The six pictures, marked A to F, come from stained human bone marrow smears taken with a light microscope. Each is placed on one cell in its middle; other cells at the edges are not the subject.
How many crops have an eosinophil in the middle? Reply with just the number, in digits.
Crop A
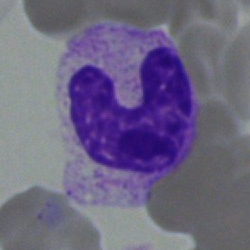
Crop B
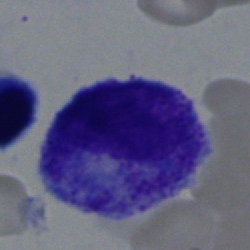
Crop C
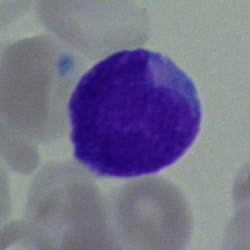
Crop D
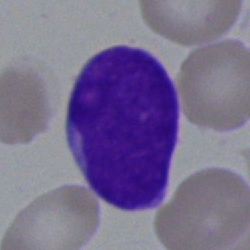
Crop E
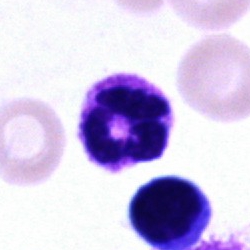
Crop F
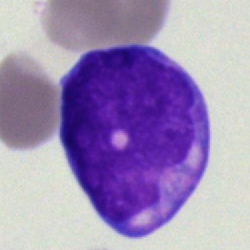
0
